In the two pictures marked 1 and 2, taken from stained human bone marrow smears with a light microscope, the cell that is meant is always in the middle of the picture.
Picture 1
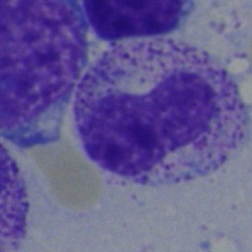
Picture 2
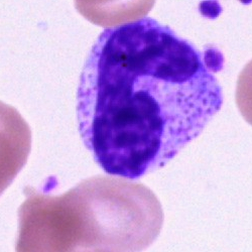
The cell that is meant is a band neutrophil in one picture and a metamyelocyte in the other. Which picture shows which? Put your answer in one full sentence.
Picture 2 shows a band neutrophil, while picture 1 shows a metamyelocyte.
